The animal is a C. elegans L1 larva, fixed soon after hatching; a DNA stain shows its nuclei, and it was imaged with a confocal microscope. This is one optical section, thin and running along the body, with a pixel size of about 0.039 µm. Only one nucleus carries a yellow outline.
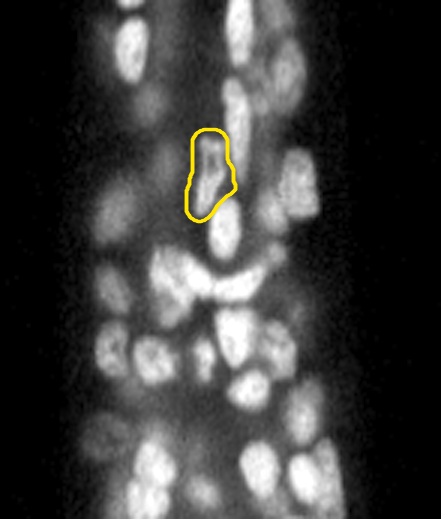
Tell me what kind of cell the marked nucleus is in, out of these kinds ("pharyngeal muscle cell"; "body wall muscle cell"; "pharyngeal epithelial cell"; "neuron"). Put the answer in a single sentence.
It is the nucleus of a pharyngeal muscle cell.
